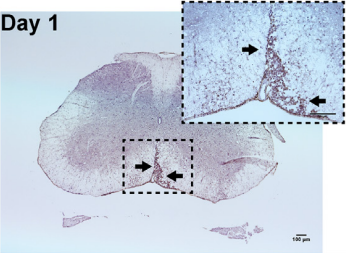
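A cross-section of spinal cord in which a dense cluster of darkly stained cells lies in the ventral white matter beside the ventral midline fissure. The magnified inset shows many small, closely packed cells with a dark red-purple stain gathered along the edge of the fissure, spreading a short way into the adjacent tissue, while the surrounding tissue is pale with scattered small nuclei. Arrows point to the stained clusters.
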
